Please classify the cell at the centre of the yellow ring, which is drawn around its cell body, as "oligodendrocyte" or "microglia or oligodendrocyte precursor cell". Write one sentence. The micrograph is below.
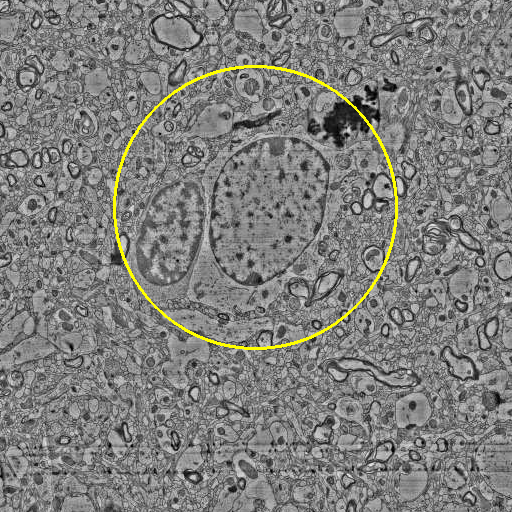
The cell at the ring's centre is classified as a microglial cell or oligodendrocyte precursor cell.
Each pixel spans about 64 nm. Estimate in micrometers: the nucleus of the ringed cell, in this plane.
In this plane, the nucleus of the cell at the centre of the ring measures about 10 by 7 micrometres.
